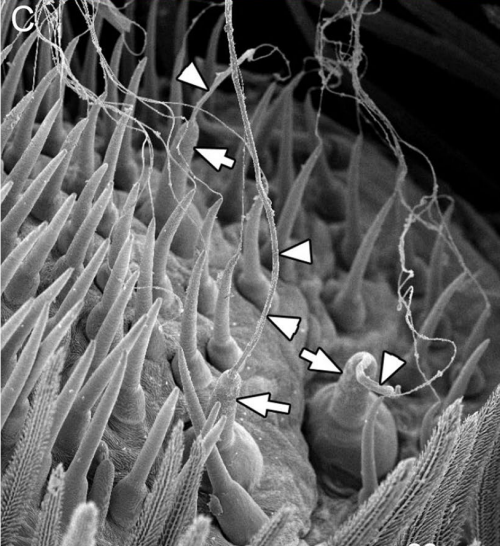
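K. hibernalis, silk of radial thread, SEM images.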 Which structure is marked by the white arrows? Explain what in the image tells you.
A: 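The arrows point to spigots with a broad bulbous base and a narrow tip. A thick thread leads away from the tip of the spigots they mark. The answer: major ampullate spigots.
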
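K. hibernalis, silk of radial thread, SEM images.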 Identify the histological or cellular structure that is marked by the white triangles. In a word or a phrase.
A: Major ampullate fibers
